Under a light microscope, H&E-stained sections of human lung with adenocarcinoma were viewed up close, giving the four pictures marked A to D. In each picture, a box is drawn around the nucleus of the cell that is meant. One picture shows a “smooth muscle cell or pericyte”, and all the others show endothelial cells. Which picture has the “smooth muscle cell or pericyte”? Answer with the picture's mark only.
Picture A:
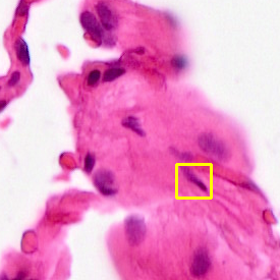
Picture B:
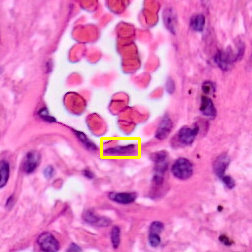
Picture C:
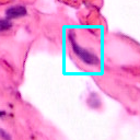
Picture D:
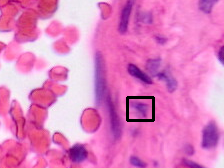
D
